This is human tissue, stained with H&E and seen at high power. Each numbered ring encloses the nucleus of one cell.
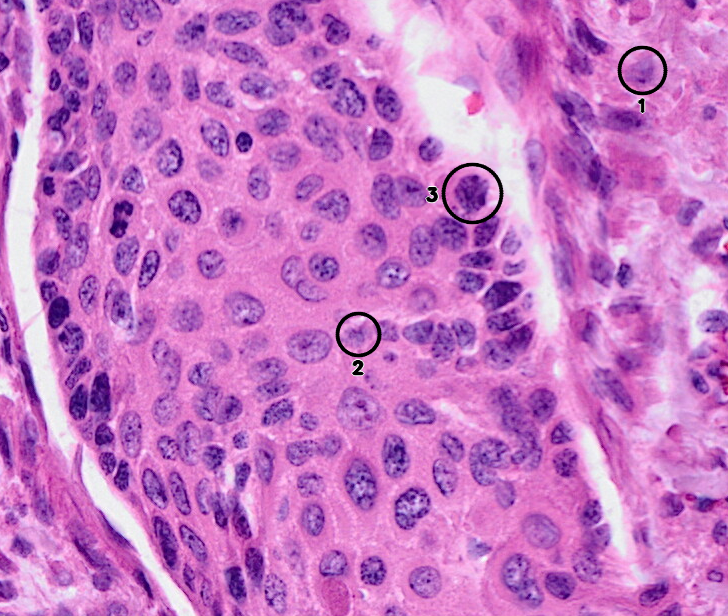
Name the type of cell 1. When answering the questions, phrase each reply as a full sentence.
The cell referred to as 1 is a fibroblast.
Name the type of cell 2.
Numbered cell 2 is a squamous carcinoma cell in this tissue section.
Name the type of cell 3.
The cell whose nucleus carries the number 3 is a squamous carcinoma cell.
